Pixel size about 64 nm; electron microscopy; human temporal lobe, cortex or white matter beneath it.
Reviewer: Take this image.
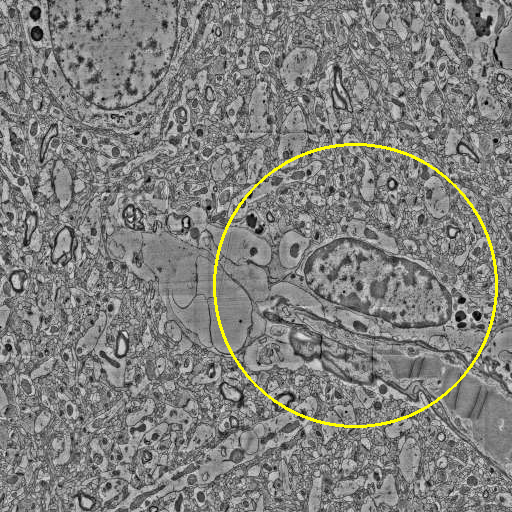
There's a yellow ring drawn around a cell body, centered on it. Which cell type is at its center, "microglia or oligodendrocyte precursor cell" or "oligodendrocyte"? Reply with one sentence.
At the center of the yellow ring is a microglial cell or oligodendrocyte precursor cell.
